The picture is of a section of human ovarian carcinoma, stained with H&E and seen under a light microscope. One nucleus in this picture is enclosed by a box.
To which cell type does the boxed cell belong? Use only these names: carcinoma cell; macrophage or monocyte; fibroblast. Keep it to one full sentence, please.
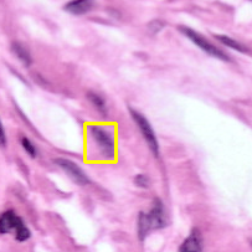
In this preparation, the boxed cell is a fibroblast.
